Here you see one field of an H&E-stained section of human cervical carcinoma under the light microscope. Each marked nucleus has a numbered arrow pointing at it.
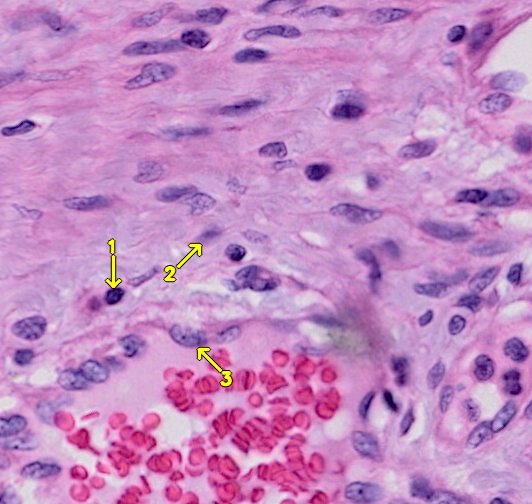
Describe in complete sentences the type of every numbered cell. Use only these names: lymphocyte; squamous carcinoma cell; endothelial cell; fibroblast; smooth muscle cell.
Cell 1 is a lymphocyte, cell 2 is a fibroblast and cell 3 is an endothelial cell.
